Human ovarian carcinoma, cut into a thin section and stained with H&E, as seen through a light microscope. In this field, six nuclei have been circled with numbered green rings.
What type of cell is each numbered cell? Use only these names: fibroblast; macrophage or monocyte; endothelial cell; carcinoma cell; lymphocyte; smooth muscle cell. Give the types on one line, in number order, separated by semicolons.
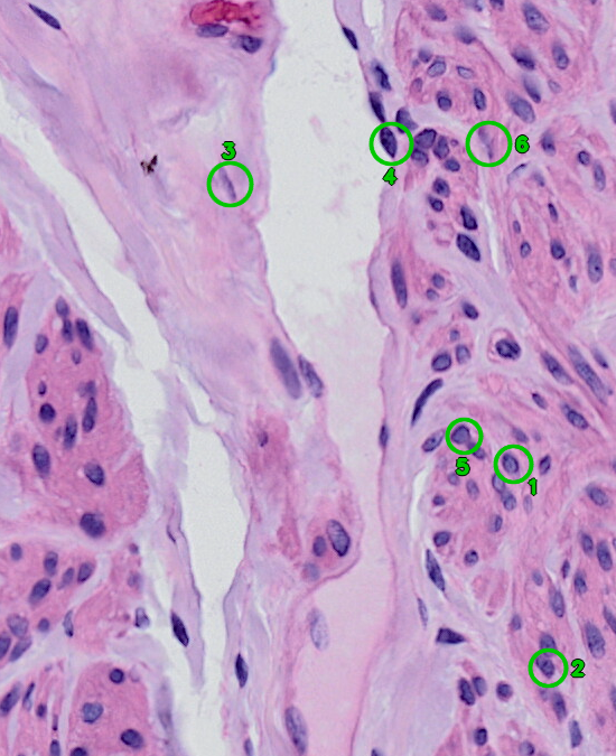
smooth muscle cell; smooth muscle cell; fibroblast; endothelial cell; smooth muscle cell; smooth muscle cell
